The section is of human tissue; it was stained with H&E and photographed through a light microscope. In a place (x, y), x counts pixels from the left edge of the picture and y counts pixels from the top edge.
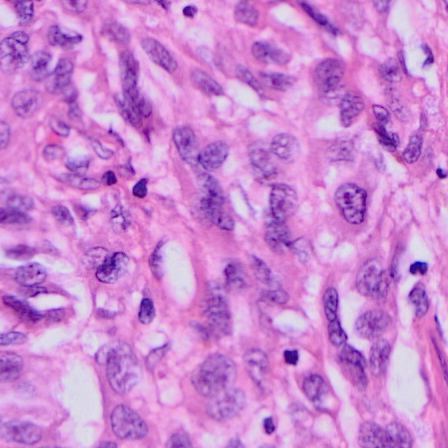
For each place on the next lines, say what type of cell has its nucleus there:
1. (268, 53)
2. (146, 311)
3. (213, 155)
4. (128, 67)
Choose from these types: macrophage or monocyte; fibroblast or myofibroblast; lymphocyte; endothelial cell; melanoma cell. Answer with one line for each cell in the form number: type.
1: melanoma cell
2: lymphocyte
3: melanoma cell
4: melanoma cell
